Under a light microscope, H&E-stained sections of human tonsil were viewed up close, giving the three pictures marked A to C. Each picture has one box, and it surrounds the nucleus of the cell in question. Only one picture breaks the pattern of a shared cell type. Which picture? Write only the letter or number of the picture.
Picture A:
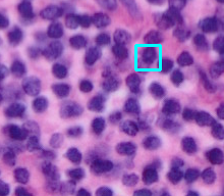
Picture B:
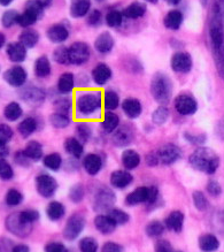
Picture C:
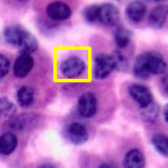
C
